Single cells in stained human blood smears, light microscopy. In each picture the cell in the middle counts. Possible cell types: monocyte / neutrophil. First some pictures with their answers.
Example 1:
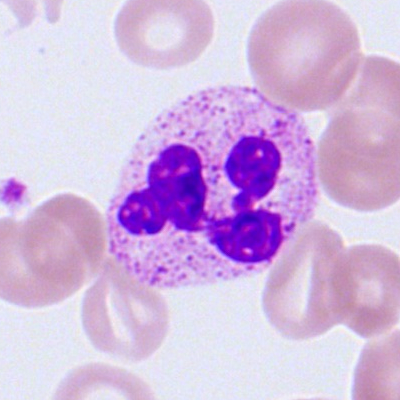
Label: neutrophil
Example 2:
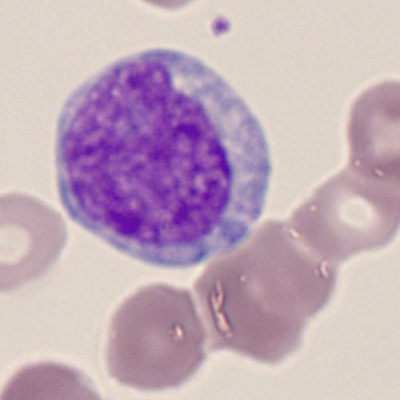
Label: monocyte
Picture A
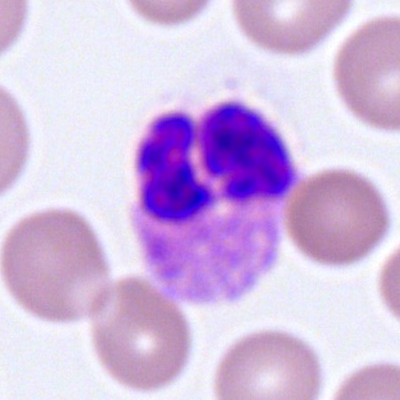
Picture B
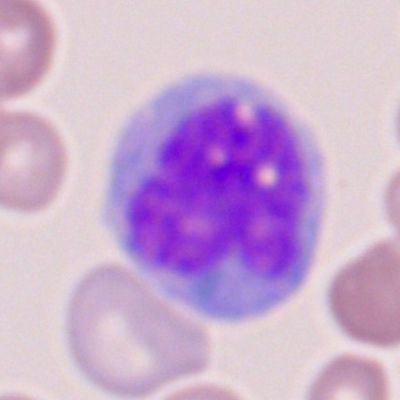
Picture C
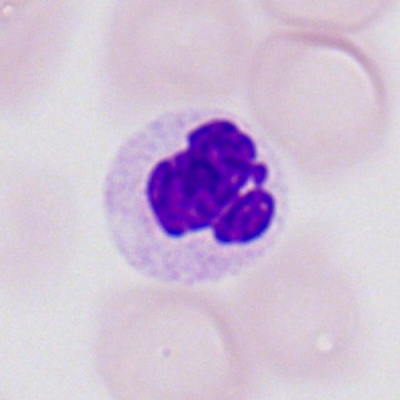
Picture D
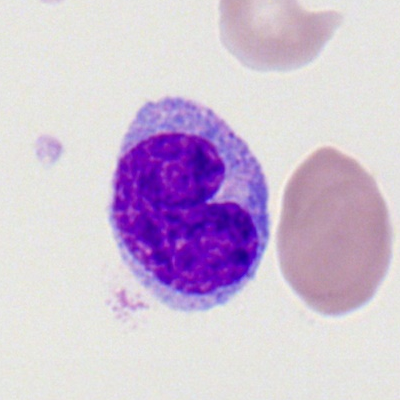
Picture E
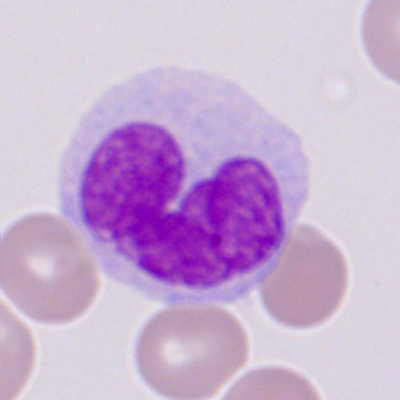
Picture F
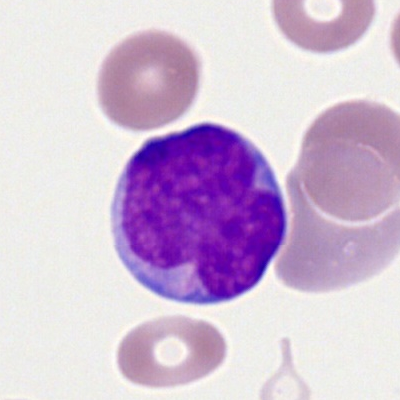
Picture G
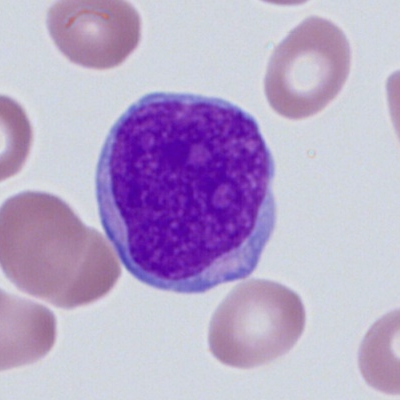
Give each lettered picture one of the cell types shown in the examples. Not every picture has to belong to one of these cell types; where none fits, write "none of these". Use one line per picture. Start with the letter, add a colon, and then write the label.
A: neutrophil
B: monocyte
C: neutrophil
D: monocyte
E: monocyte
F: none of these
G: none of these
